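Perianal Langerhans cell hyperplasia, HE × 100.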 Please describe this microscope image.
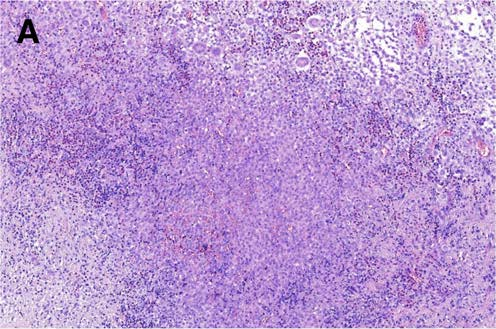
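This is a diffuse cellular infiltrate seen at low power, with sheets of pale pink cells dispersed across the field. Darker bands and clusters of small cells with dense nuclei run between the pale sheets. Scattered among them are cells with red cytoplasm, and near the top lie large rounded pale cells with a clear halo.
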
